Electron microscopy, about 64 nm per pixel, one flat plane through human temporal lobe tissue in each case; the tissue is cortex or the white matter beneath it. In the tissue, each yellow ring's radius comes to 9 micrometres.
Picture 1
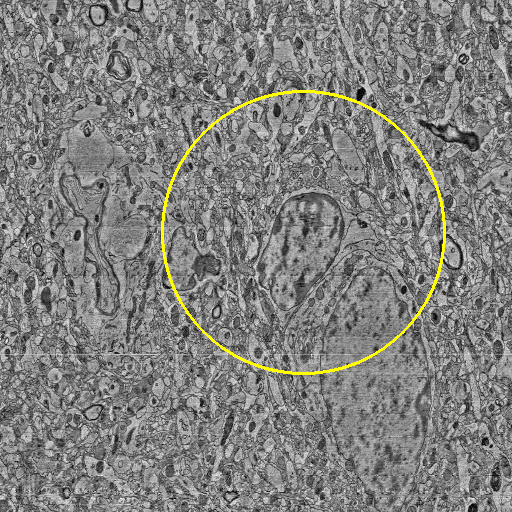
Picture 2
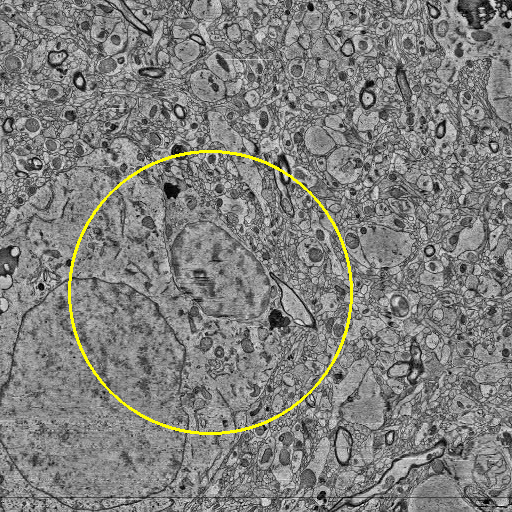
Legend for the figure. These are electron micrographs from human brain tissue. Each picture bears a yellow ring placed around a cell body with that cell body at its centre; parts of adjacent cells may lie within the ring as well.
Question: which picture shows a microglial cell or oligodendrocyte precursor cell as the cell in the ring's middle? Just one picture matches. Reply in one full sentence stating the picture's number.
It is picture 1 whose yellow ring is centred on the requested cell.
